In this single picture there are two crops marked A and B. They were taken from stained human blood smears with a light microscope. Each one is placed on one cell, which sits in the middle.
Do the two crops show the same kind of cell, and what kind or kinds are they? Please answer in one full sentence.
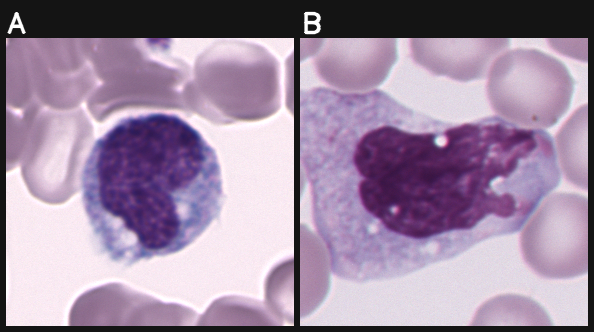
Yes, in both crops, monocytes are the cells at the middle.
